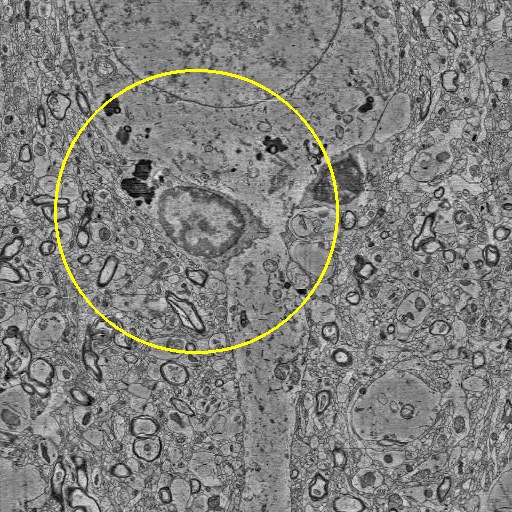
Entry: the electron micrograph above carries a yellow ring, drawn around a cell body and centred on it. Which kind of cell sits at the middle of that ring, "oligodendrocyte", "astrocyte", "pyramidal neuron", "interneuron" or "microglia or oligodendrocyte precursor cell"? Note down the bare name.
oligodendrocyte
